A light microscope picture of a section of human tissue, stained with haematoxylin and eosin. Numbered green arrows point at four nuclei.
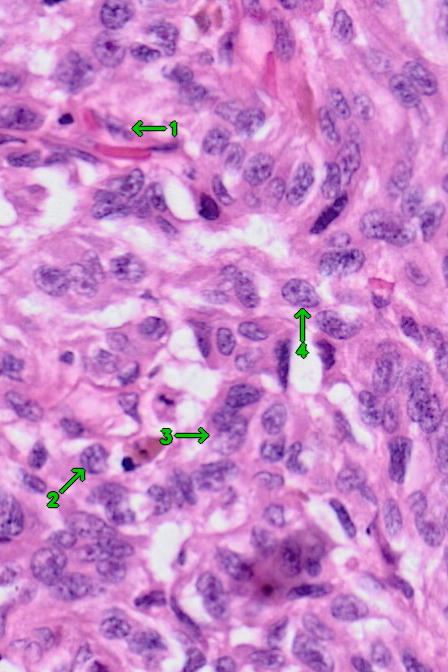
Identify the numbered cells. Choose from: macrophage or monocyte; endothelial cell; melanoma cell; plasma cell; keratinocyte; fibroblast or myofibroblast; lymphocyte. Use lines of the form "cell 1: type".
cell 1: endothelial cell
cell 2: melanoma cell
cell 3: melanoma cell
cell 4: melanoma cell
